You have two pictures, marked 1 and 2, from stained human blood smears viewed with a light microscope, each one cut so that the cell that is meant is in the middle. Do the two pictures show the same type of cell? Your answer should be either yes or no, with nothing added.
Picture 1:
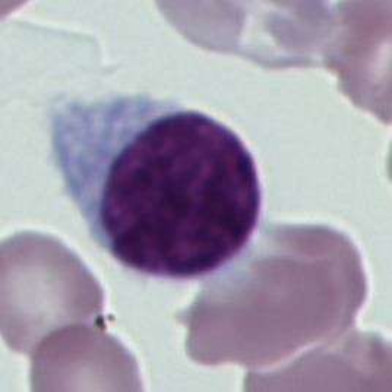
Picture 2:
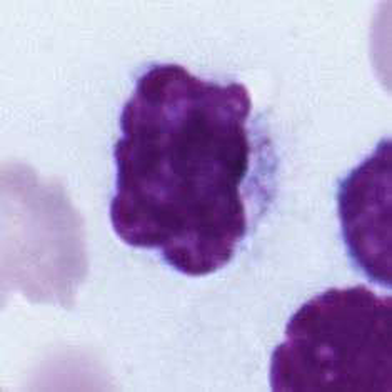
no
